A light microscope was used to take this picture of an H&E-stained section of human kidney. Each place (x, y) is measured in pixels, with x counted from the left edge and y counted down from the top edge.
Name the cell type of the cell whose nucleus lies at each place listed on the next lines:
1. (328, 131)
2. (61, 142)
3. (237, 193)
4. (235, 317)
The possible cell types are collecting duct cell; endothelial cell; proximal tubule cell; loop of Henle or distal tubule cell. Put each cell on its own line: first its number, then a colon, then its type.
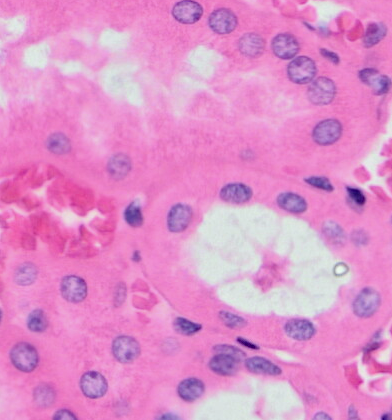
1: proximal tubule cell
2: proximal tubule cell
3: loop of Henle or distal tubule cell
4: loop of Henle or distal tubule cell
